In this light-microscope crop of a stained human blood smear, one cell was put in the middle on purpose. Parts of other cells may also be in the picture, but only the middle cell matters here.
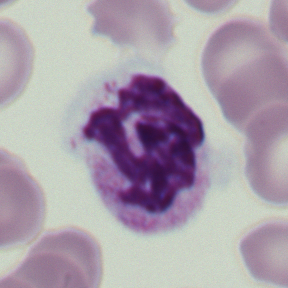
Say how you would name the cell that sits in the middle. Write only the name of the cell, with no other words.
segmented neutrophil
